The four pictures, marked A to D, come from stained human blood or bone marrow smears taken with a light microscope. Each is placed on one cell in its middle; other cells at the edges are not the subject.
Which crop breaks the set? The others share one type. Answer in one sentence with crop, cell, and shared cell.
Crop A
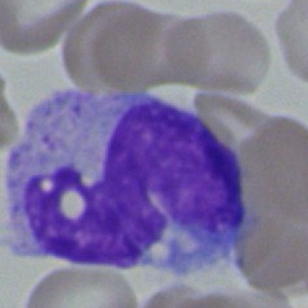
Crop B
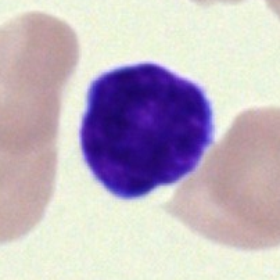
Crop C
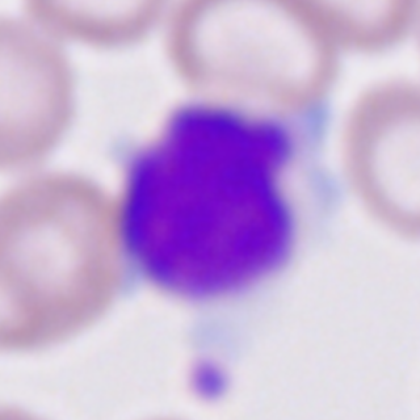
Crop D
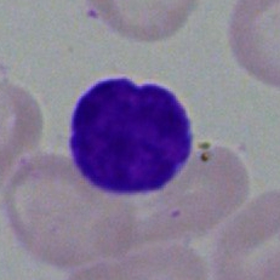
Crop A is a monocyte, the one exception to the lymphocytes of the other crops.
